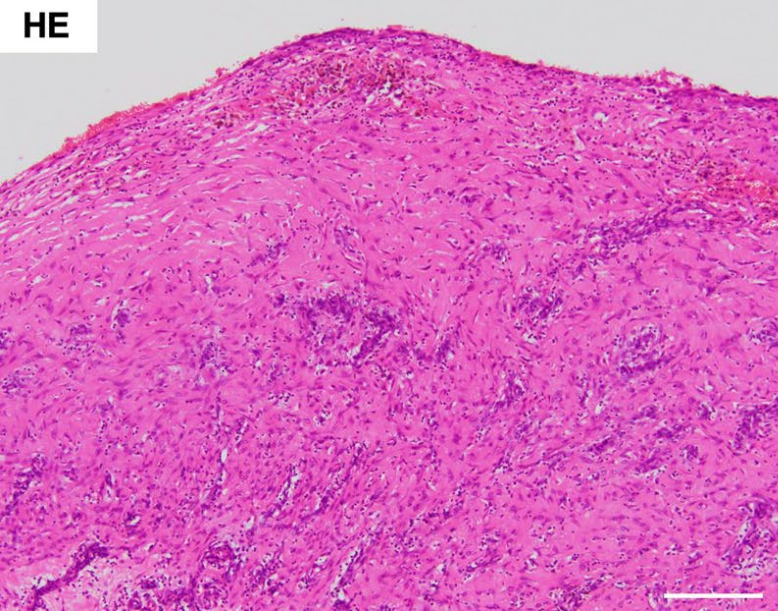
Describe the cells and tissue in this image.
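Fibrous wall of pink collagenous stroma with scattered spindle-shaped cells. Many clusters and streaks of small dark round nuclei run through the stroma, consistent with inflammatory cell infiltration. Beneath the surface lie patches of bright red extravasated blood.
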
